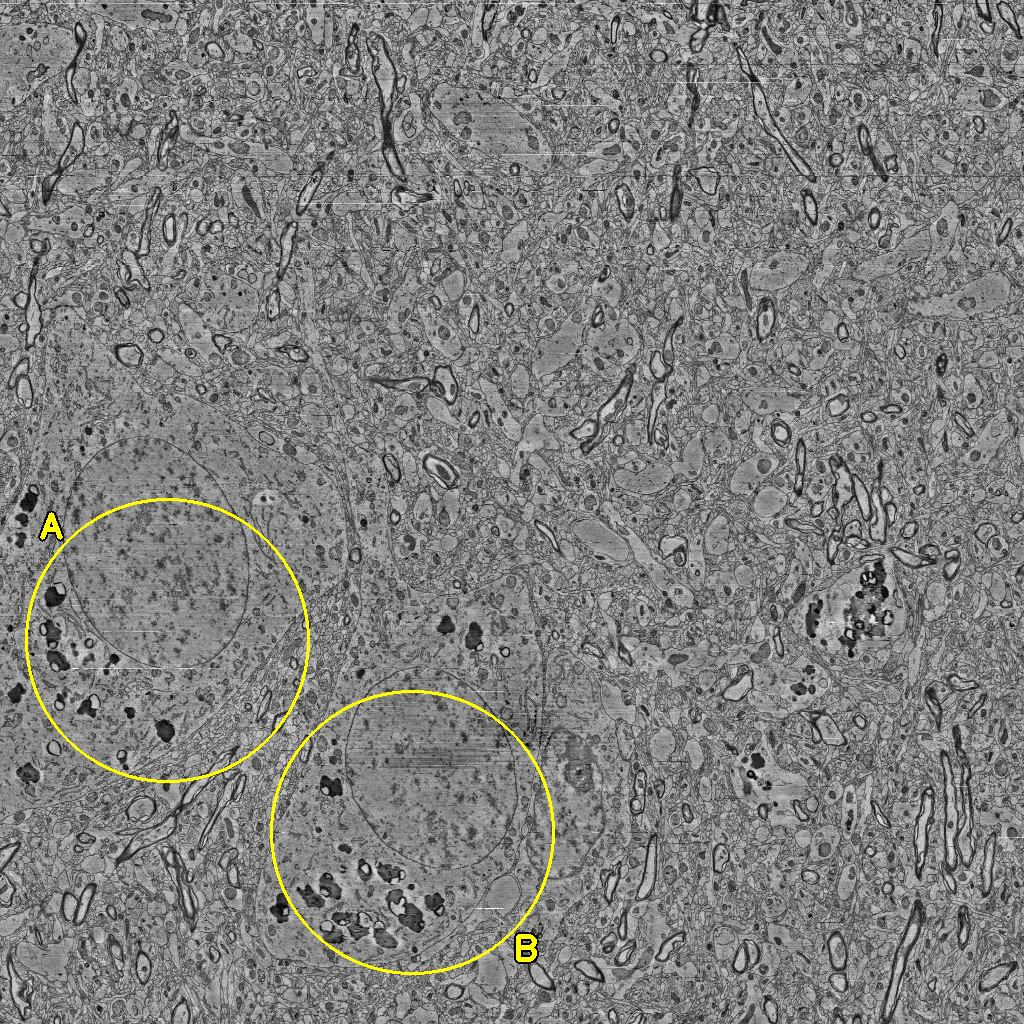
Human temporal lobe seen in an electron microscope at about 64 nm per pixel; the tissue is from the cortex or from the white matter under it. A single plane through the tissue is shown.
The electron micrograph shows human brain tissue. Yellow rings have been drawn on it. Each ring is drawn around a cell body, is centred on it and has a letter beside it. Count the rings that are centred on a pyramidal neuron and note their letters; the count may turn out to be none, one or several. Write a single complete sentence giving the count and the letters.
Each of the rings lettered A and B is centred on a pyramidal neuron, making two such rings.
